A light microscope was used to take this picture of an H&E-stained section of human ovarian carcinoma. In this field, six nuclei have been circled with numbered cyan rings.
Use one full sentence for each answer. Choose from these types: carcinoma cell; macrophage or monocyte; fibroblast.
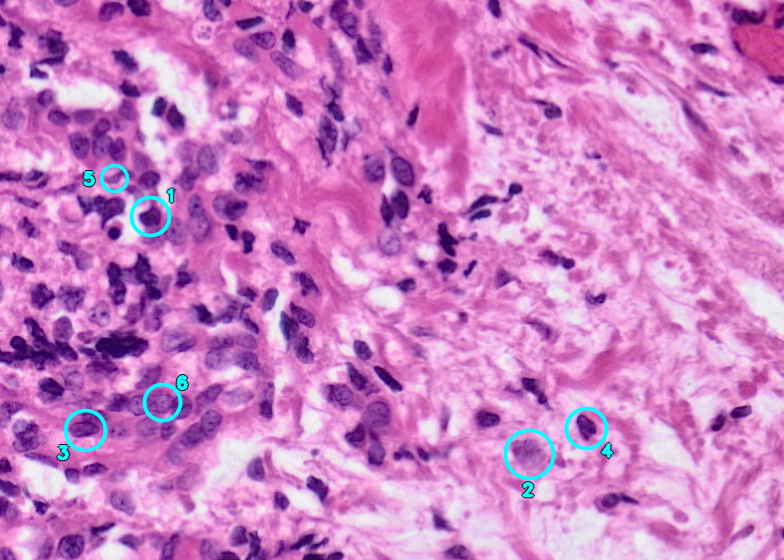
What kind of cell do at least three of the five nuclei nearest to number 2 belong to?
Macrophages or monocytes account for more than half of the five nuclei nearest to number 2.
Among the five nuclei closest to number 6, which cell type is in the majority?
The majority of the five nuclei closest to number 6 belong to carcinoma cells.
